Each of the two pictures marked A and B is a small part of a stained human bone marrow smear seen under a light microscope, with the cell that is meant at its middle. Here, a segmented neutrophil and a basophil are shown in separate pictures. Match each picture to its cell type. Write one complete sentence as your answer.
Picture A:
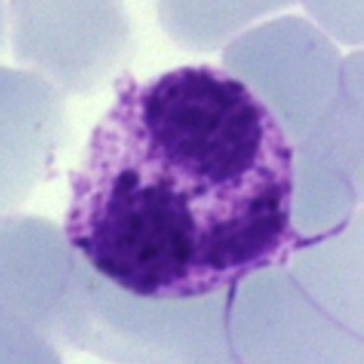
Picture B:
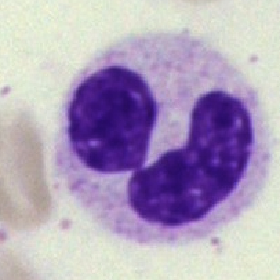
It is picture A that shows a basophil, and picture B that shows a segmented neutrophil.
